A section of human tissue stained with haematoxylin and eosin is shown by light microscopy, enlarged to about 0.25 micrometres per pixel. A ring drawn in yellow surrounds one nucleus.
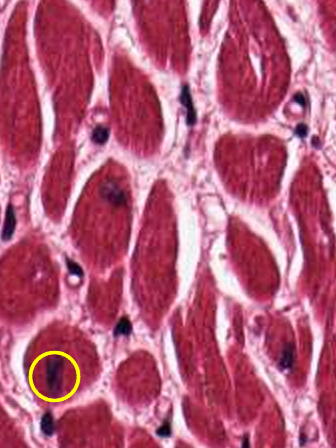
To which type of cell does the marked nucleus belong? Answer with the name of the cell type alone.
cardiomyocyte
